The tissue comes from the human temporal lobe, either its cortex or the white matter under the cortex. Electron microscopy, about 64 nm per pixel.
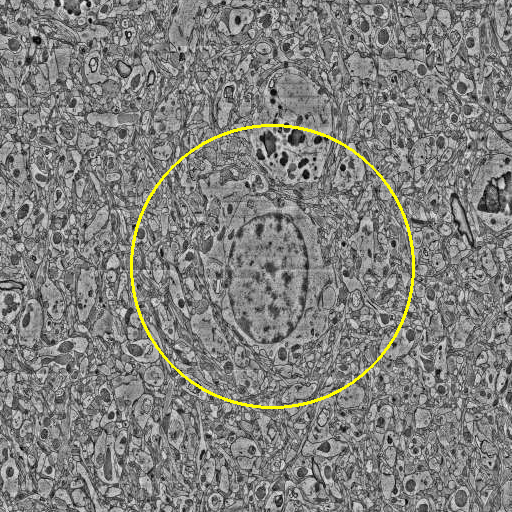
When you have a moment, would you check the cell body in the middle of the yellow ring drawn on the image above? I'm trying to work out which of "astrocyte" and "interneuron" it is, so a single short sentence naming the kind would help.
This cell body belongs to an astrocyte.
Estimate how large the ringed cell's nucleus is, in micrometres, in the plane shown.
About 8 micrometres by about 6 micrometres in this plane.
